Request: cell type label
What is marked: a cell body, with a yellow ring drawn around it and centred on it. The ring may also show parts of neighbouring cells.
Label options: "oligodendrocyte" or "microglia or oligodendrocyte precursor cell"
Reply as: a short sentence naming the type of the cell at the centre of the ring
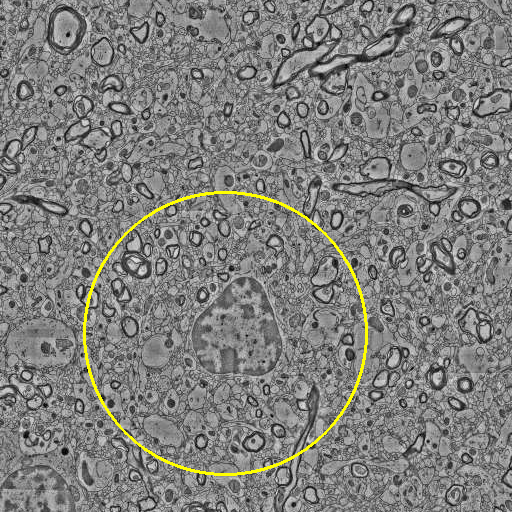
The marked cell body is that of a microglial cell or oligodendrocyte precursor cell.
